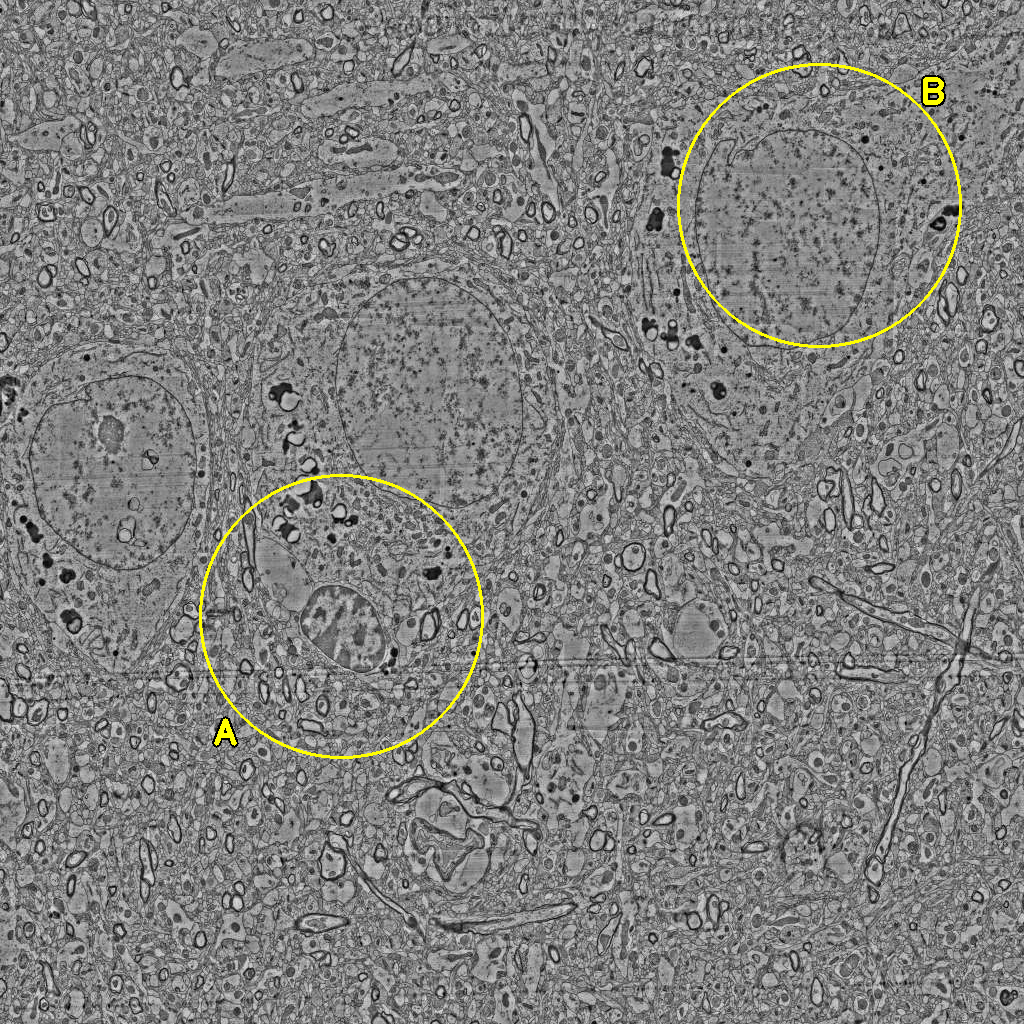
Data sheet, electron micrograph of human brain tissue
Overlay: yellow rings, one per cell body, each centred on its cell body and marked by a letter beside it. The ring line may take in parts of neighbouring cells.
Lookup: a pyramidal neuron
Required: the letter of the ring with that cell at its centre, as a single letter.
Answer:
B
